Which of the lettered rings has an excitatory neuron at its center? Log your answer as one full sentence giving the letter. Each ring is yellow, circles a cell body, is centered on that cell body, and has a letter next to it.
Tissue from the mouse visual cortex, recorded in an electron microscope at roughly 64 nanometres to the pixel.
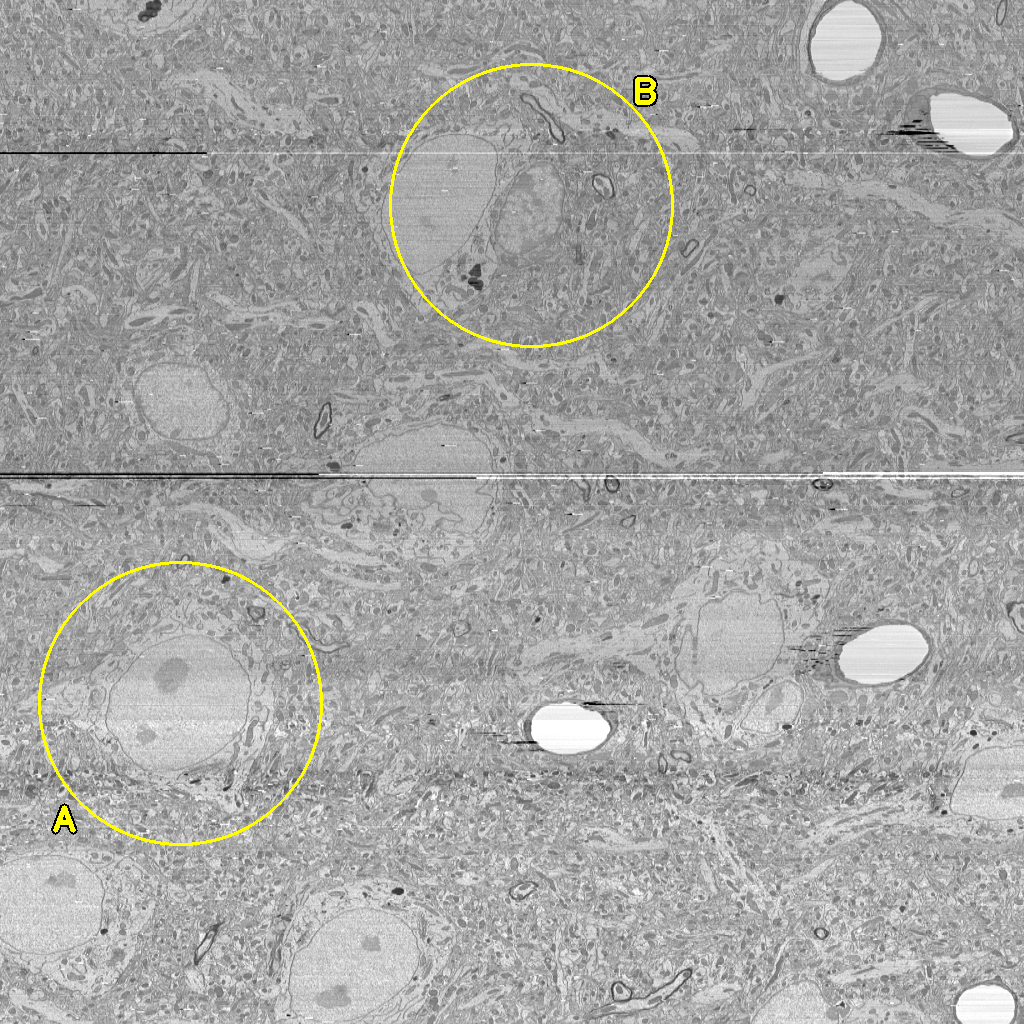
The lettered ring centered on the cell asked for is ring A.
